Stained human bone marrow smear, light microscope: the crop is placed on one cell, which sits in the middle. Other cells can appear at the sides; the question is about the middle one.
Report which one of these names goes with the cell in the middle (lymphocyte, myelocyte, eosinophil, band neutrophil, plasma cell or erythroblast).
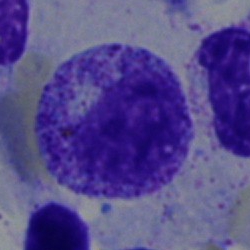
myelocyte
